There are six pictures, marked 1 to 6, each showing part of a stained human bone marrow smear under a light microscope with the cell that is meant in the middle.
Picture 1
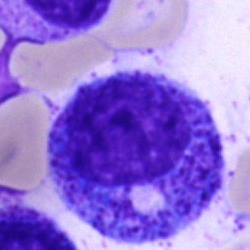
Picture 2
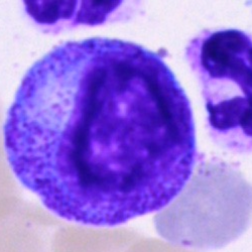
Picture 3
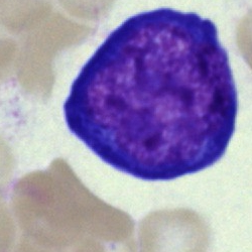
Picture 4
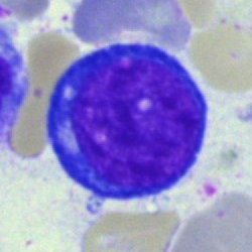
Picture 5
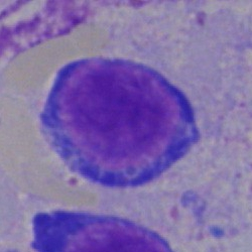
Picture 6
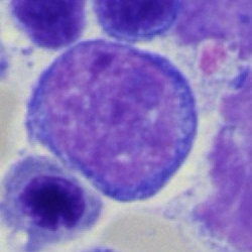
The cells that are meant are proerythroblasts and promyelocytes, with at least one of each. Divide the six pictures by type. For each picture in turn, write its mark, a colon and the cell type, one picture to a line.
1: promyelocyte
2: promyelocyte
3: proerythroblast
4: proerythroblast
5: proerythroblast
6: proerythroblast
